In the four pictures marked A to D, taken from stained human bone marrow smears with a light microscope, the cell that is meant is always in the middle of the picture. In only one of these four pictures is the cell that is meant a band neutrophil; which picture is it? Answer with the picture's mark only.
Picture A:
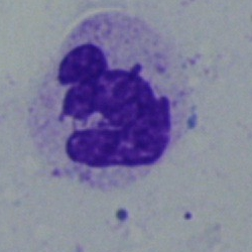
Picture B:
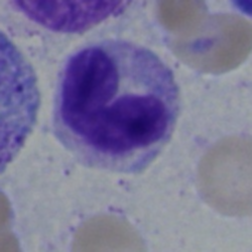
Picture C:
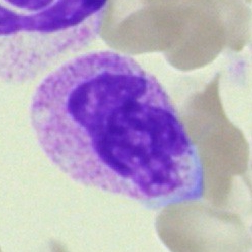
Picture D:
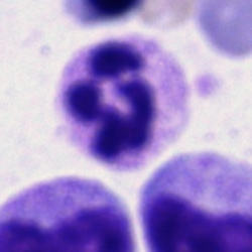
B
